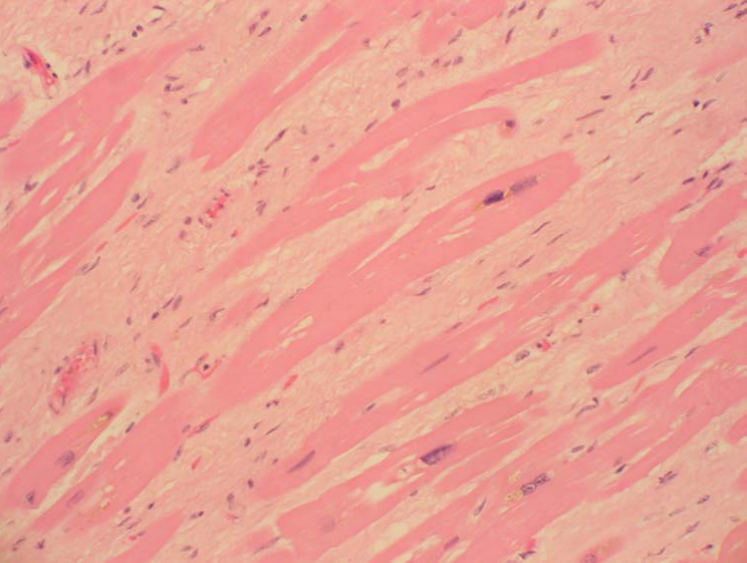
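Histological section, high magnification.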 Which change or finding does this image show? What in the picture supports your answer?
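Patchy interstitial fibrosis. Broad pale pink, loose, fibrillar tissue lies between the muscle fibres. The muscle fibres are widely separated from one another. Small spindle-shaped nuclei are scattered in the pale tissue between fibres.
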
